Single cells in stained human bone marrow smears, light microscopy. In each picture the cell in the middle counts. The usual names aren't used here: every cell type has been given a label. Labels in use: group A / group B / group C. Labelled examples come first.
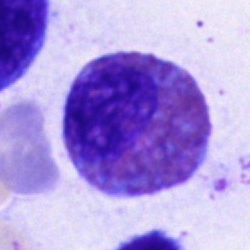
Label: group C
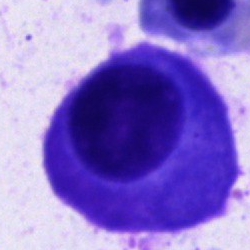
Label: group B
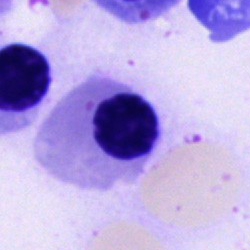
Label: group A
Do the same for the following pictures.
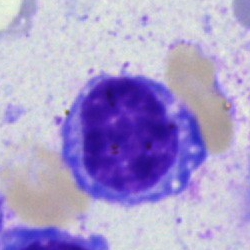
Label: group B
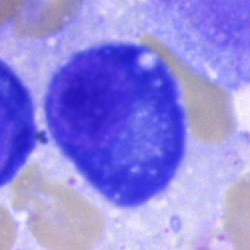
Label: group B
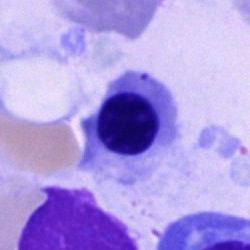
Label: group A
